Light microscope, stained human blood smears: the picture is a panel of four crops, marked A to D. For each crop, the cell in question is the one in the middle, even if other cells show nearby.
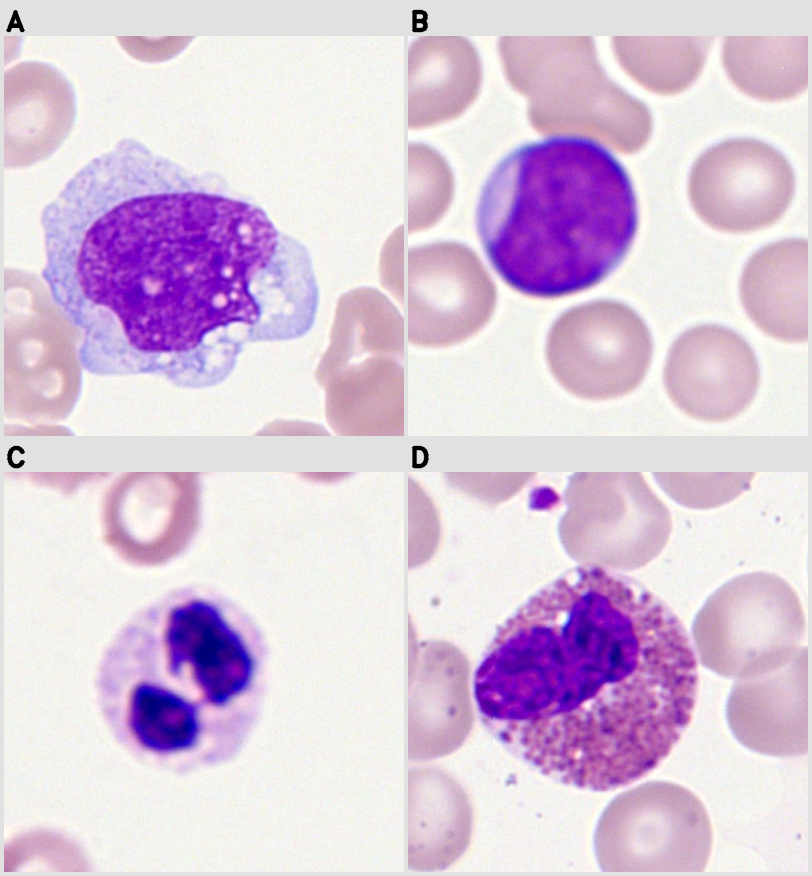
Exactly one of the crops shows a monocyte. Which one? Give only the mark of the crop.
A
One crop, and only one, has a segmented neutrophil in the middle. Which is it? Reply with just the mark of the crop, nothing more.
C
